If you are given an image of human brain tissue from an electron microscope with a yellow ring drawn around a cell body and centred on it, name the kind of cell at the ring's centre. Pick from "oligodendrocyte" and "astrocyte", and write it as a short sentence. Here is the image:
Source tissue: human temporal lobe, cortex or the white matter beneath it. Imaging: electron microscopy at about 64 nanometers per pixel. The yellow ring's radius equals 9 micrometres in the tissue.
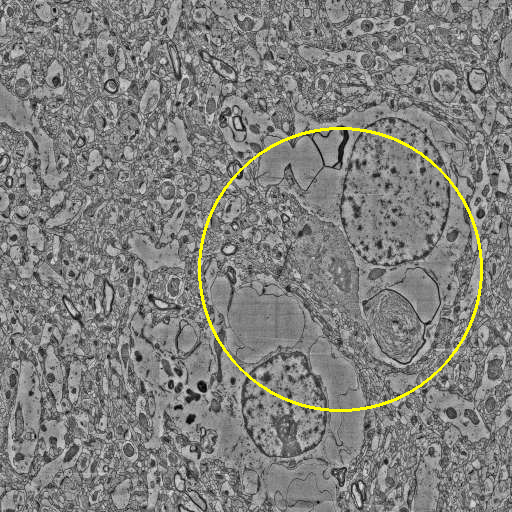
The cell at the ring's centre is an oligodendrocyte.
